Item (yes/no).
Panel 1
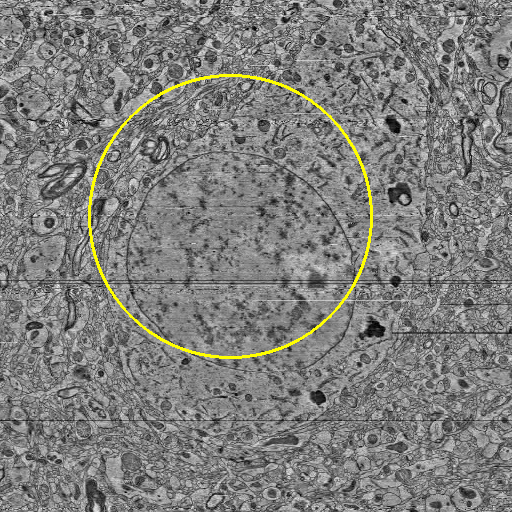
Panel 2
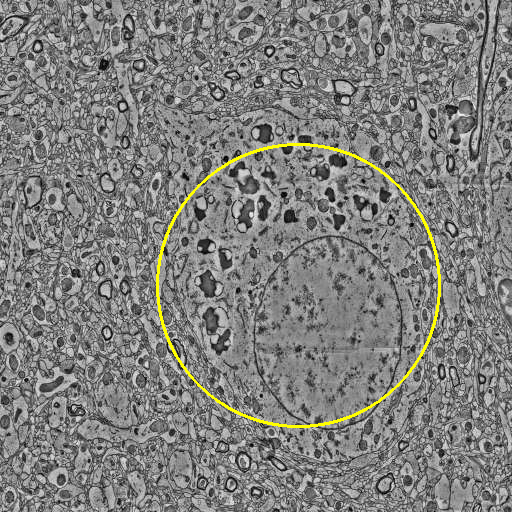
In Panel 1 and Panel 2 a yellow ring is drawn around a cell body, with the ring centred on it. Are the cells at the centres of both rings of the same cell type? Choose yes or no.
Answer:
yes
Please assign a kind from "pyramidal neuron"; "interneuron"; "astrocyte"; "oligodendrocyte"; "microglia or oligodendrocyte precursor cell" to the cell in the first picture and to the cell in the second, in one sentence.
In the first picture and in the second, the ring is centred on a pyramidal neuron.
